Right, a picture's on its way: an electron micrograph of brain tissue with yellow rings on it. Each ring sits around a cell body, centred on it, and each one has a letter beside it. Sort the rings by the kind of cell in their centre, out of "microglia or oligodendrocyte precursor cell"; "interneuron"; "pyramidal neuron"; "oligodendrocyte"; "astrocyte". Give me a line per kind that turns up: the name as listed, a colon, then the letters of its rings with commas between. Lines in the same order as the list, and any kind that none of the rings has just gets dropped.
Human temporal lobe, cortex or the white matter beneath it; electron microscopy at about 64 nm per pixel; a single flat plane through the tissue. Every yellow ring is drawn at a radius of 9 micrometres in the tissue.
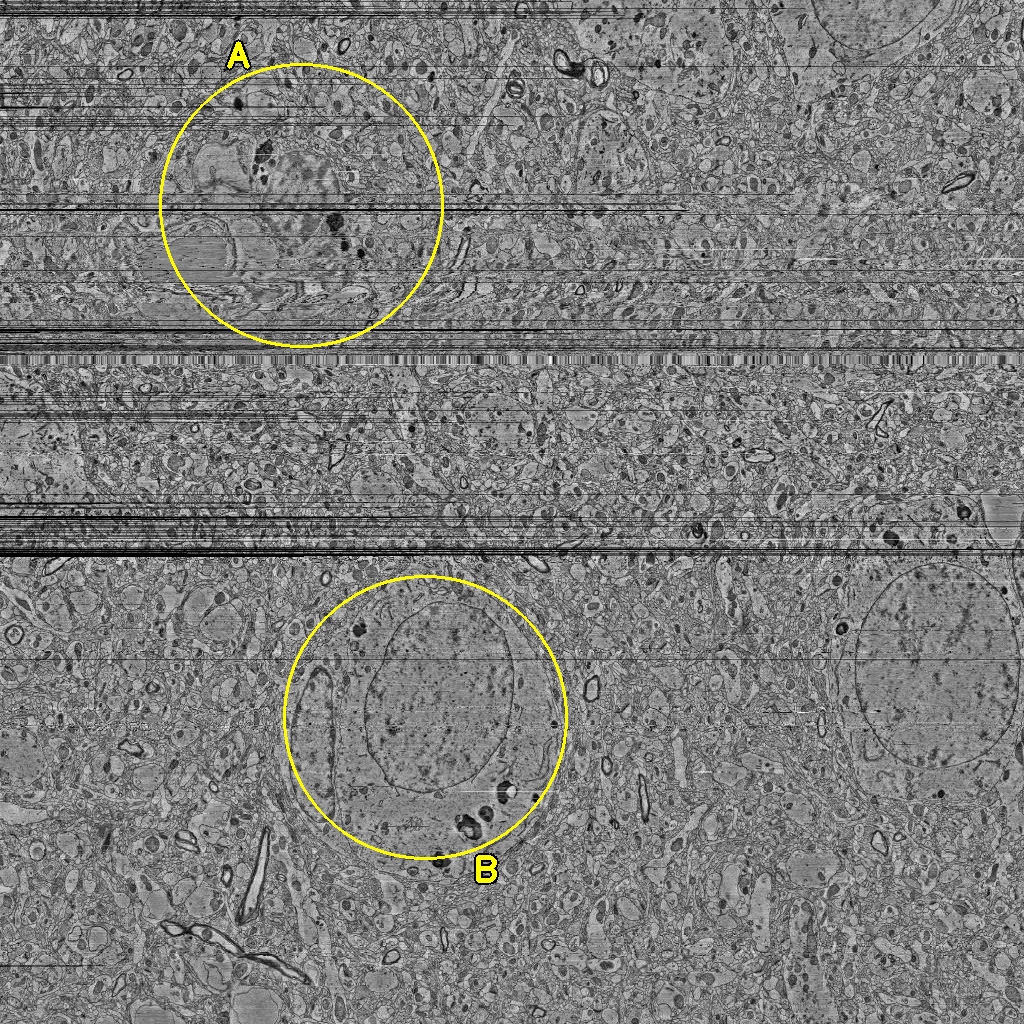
pyramidal neuron: B
oligodendrocyte: A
